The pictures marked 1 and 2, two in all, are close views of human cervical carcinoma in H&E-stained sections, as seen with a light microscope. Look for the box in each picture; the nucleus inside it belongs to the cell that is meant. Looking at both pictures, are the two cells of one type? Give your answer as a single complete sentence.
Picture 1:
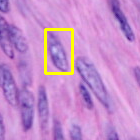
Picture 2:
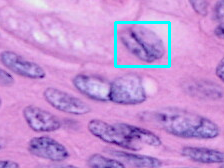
No; the cell in picture 1 is a smooth muscle cell, while the one in picture 2 is a squamous carcinoma cell.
